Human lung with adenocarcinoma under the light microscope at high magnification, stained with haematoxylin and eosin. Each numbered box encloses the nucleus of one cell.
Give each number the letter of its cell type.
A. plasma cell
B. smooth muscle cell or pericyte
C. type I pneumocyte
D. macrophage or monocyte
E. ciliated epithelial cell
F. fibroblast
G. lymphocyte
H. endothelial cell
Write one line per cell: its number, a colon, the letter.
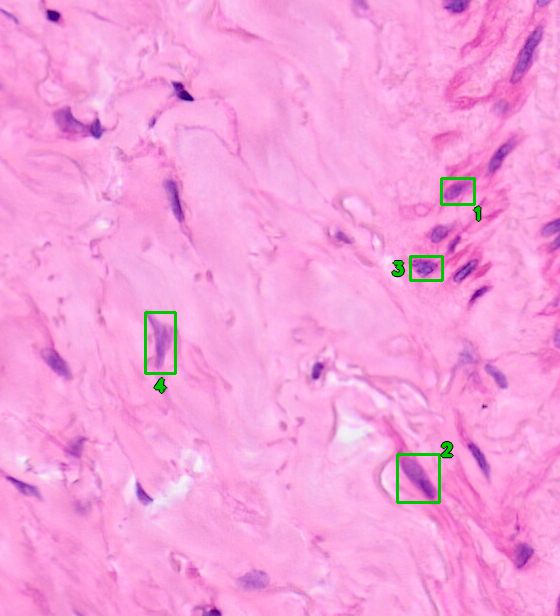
1: B
2: B
3: B
4: F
